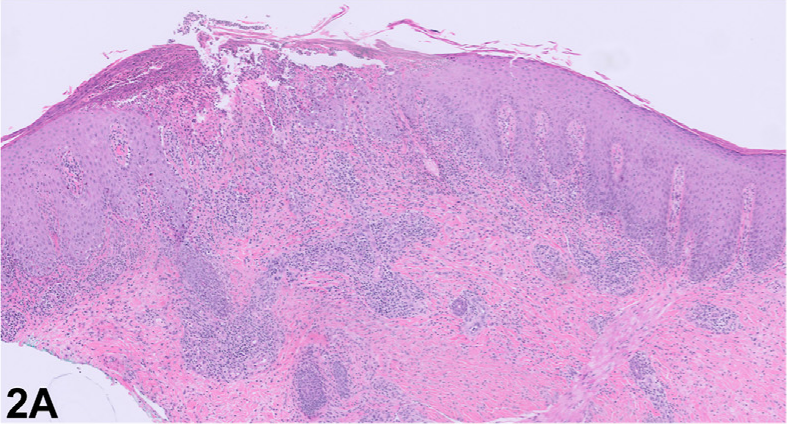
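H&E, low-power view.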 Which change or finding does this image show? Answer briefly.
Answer: Psoriasiform epidermal hyperplasia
